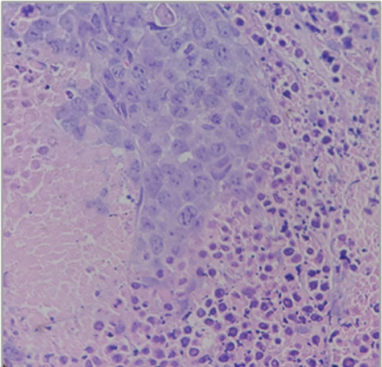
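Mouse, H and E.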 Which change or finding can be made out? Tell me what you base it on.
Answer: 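The lower left is a pale pink area of cell outlines without nuclear staining. Next to it lie cells with small dark condensed nuclei.
Answer: tumor coagulative necrosis area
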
